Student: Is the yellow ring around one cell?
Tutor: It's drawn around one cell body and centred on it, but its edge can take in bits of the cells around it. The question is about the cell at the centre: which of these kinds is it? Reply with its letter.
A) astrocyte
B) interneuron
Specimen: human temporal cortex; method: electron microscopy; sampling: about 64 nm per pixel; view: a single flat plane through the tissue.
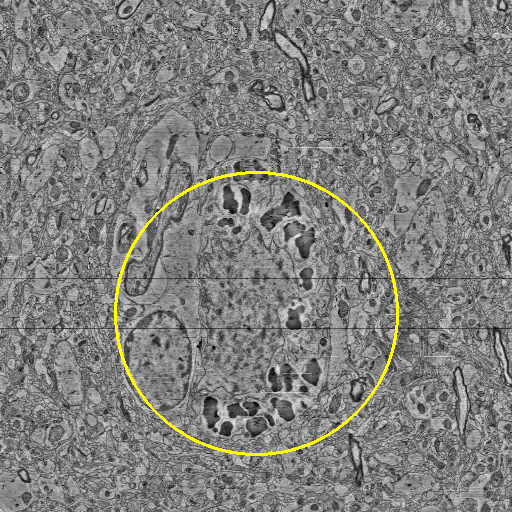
B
